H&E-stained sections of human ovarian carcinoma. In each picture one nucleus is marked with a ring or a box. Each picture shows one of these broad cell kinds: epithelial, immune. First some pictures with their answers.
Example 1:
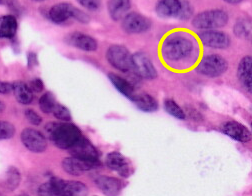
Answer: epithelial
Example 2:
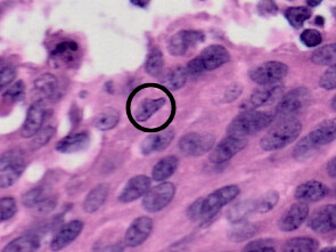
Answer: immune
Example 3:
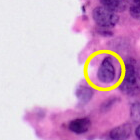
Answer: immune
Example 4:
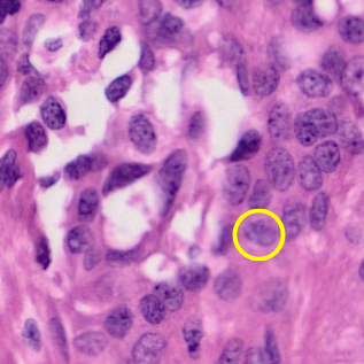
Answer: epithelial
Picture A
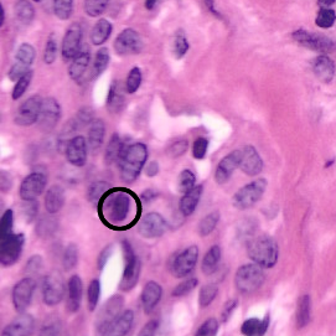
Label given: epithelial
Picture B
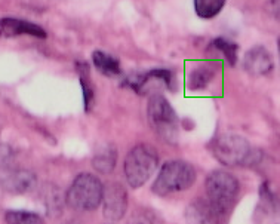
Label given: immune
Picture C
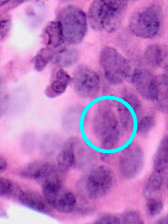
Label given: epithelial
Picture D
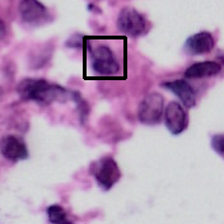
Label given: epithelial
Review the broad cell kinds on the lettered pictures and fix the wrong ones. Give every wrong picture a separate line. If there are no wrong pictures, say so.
Wrong: D (epithelial); correct: immune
